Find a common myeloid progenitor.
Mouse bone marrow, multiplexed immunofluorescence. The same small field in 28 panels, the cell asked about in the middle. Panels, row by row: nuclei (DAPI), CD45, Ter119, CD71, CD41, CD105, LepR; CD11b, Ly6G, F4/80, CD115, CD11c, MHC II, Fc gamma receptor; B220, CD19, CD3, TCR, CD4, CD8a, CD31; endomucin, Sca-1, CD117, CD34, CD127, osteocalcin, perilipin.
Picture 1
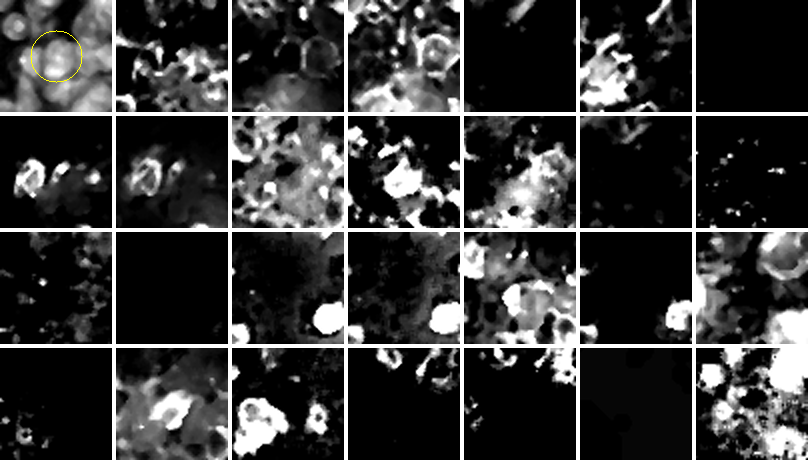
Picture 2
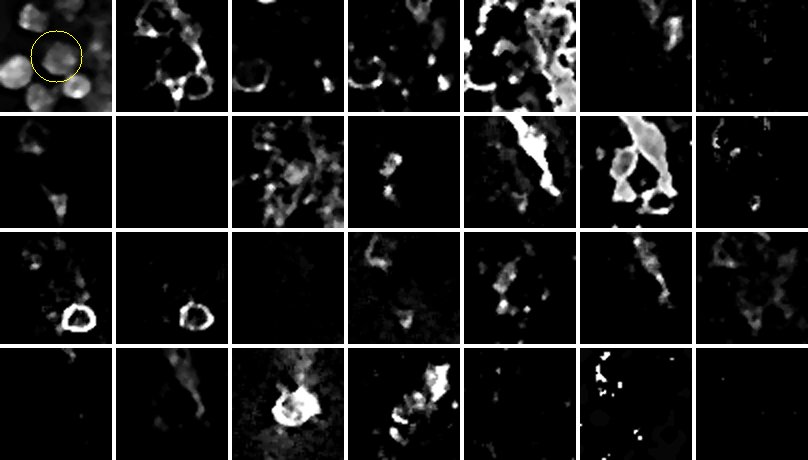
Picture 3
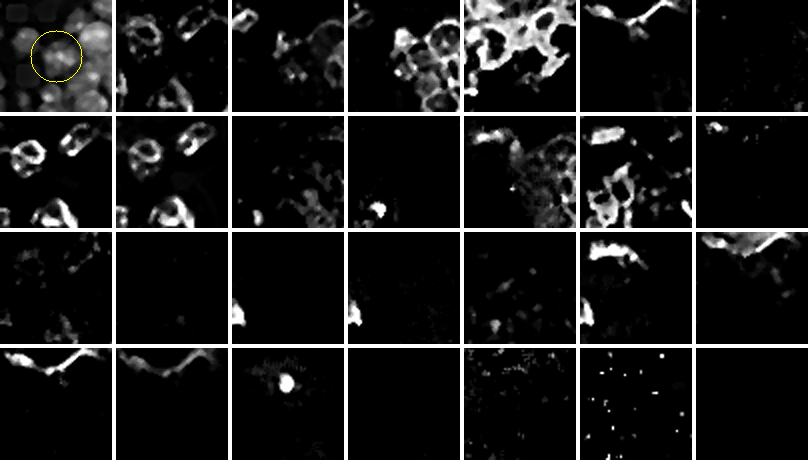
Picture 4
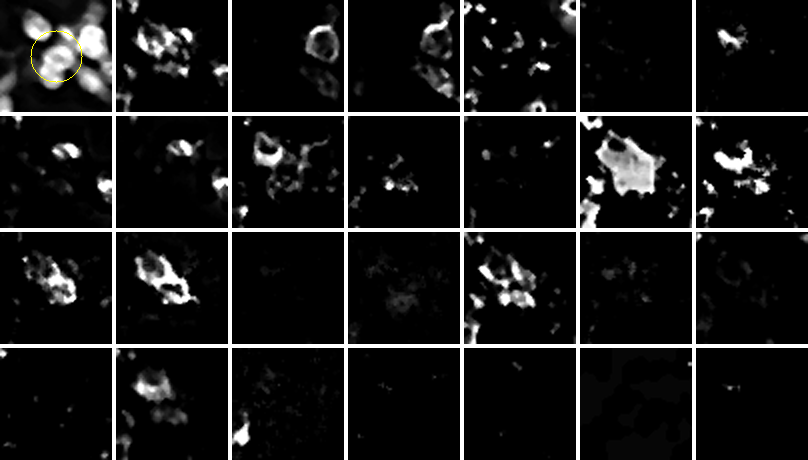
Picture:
2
